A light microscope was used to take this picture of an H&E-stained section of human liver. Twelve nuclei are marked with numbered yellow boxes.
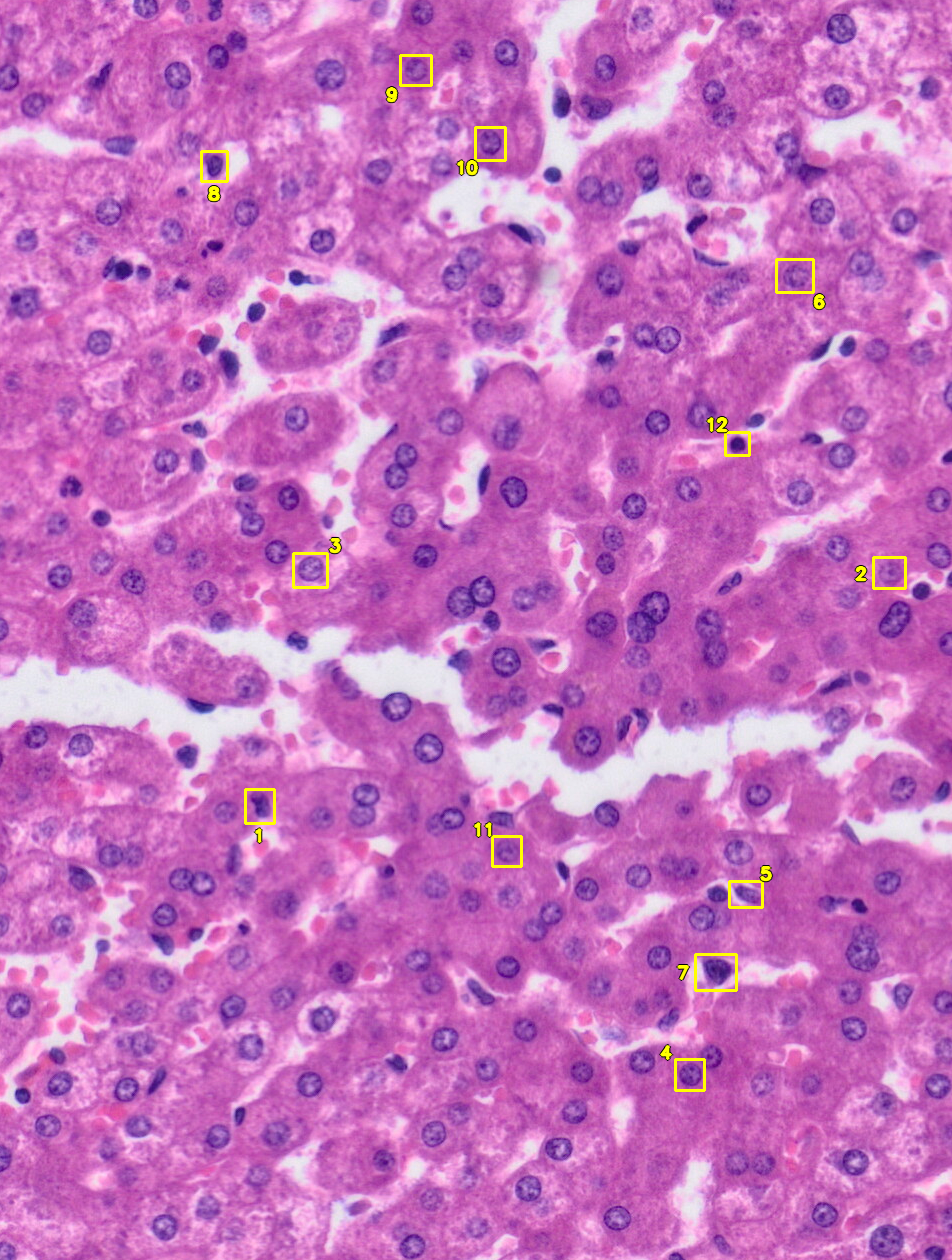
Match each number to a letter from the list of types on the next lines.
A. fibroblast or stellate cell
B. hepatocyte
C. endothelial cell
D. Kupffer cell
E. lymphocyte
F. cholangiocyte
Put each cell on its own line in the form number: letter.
1: A
2: B
3: B
4: B
5: D
6: B
7: D
8: D
9: B
10: B
11: B
12: E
